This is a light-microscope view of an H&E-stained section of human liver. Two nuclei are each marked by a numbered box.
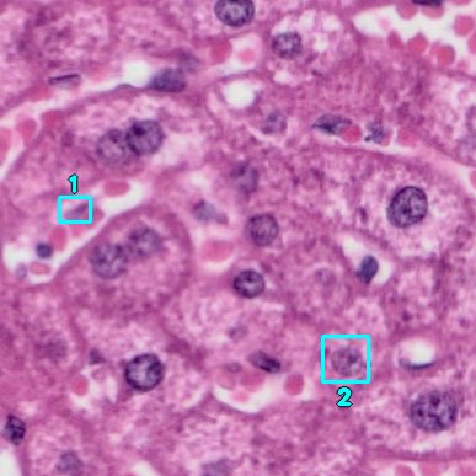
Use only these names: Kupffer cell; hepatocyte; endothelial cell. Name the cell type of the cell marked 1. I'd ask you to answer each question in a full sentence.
The marked cell bearing number 1 is a Kupffer cell.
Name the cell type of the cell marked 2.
The cell identified by number 2 is a hepatocyte.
